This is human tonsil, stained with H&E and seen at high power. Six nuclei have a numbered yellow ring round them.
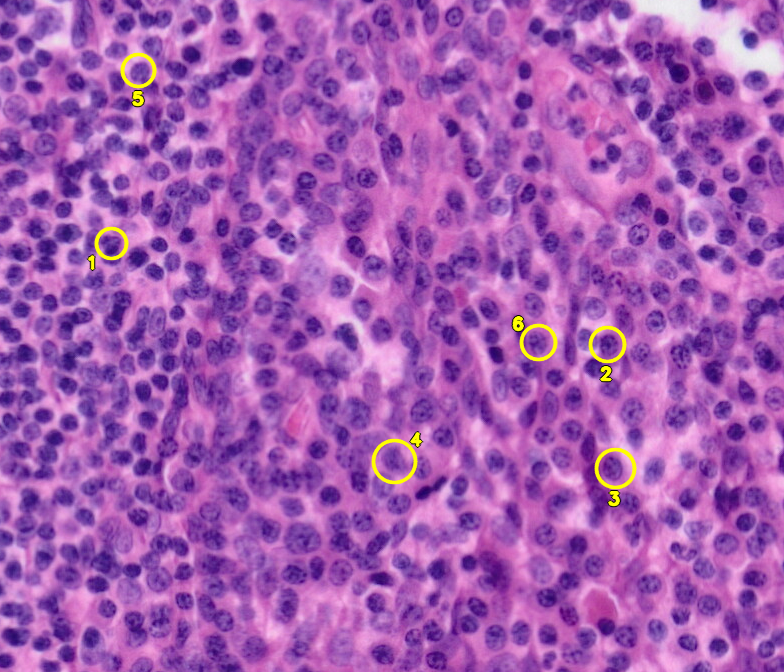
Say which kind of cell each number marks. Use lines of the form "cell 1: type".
cell 1: small lymphocyte
cell 2: plasma cell
cell 3: plasma cell
cell 4: squamous epithelial cell
cell 5: small lymphocyte
cell 6: plasma cell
